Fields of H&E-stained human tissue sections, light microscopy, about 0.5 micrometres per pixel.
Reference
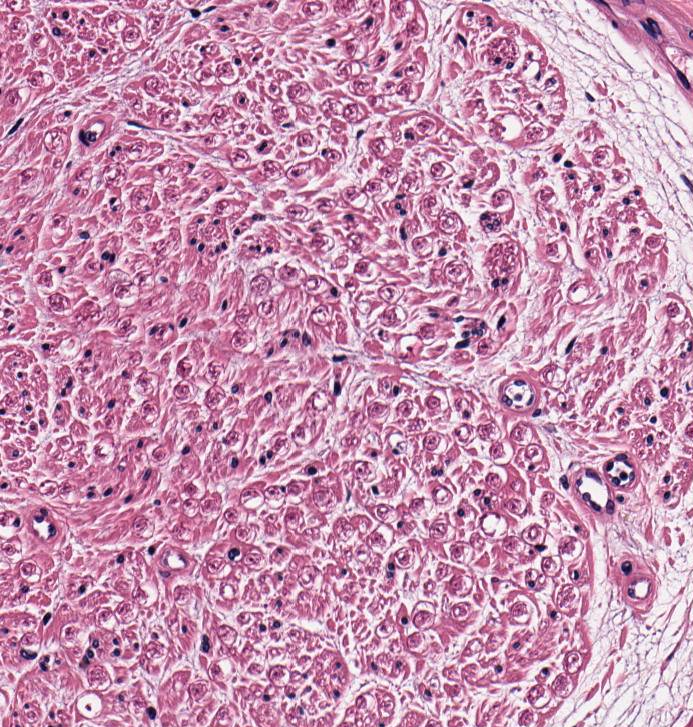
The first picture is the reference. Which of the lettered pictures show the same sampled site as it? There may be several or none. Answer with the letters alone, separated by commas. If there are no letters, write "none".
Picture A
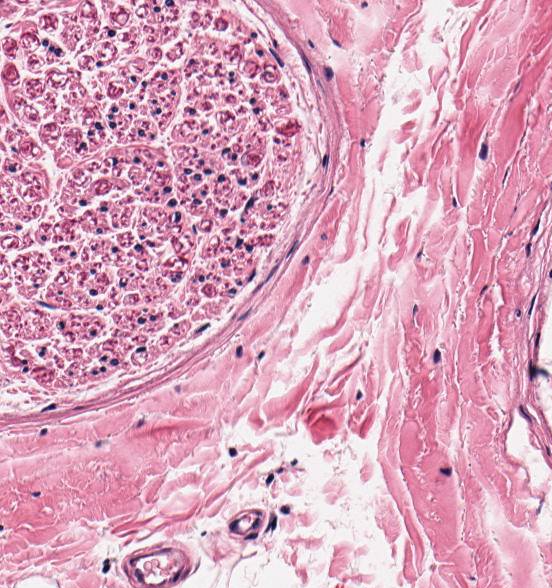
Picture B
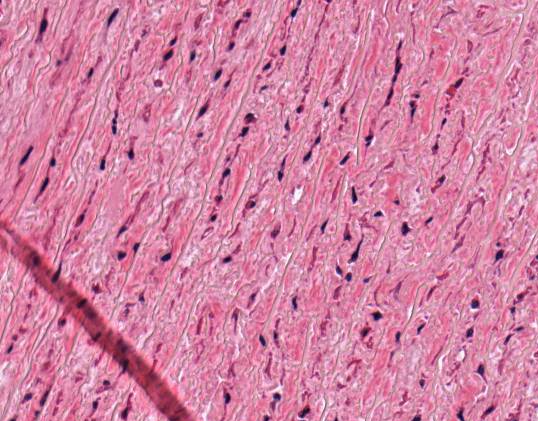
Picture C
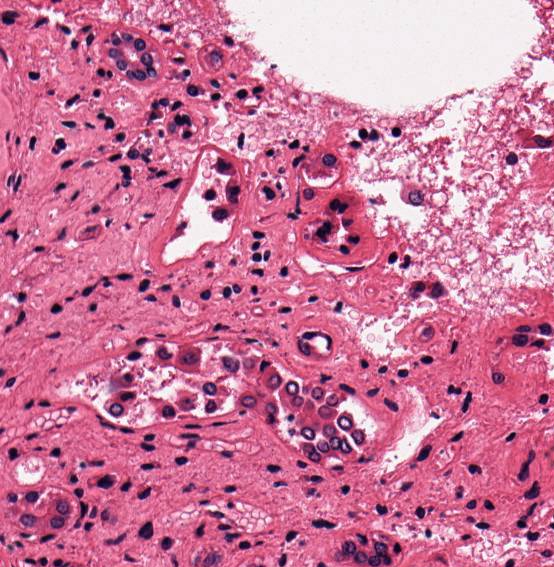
A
